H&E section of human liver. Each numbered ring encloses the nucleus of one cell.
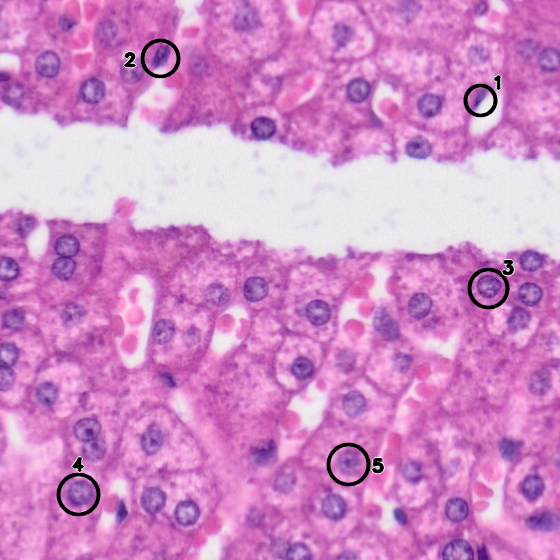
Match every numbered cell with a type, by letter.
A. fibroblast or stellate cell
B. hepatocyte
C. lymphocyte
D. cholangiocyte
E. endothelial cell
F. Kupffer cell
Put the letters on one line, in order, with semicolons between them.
E; A; B; B; B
